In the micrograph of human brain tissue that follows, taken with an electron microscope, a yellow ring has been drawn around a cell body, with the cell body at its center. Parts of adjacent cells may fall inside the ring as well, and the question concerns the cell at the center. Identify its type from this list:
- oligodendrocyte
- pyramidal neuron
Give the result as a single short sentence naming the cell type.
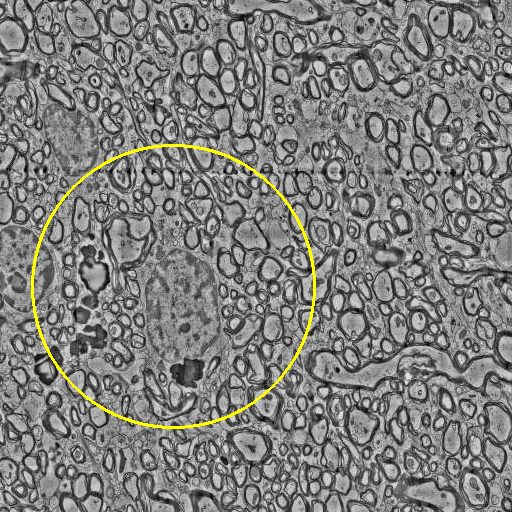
The ring is centered on an oligodendrocyte.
